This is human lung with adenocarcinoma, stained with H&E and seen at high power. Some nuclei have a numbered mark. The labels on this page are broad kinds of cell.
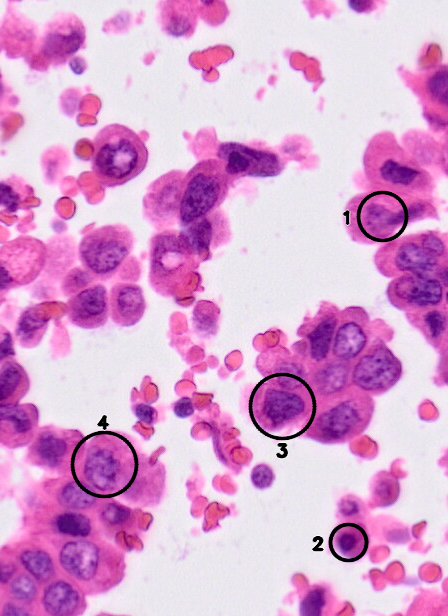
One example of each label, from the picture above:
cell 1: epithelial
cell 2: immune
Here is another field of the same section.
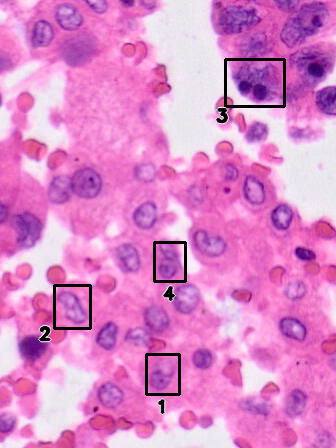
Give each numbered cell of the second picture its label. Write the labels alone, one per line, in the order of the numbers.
immune
immune
epithelial
immune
